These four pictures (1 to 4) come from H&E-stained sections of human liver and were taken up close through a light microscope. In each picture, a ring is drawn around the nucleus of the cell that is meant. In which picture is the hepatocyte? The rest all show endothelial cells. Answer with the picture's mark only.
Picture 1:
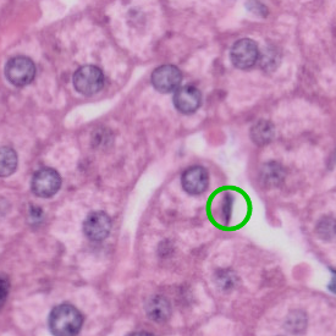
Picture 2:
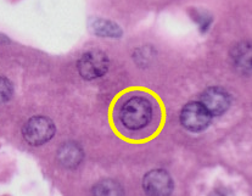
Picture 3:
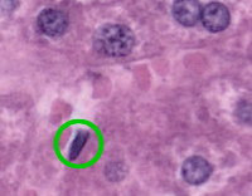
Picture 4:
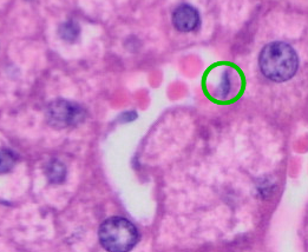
2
